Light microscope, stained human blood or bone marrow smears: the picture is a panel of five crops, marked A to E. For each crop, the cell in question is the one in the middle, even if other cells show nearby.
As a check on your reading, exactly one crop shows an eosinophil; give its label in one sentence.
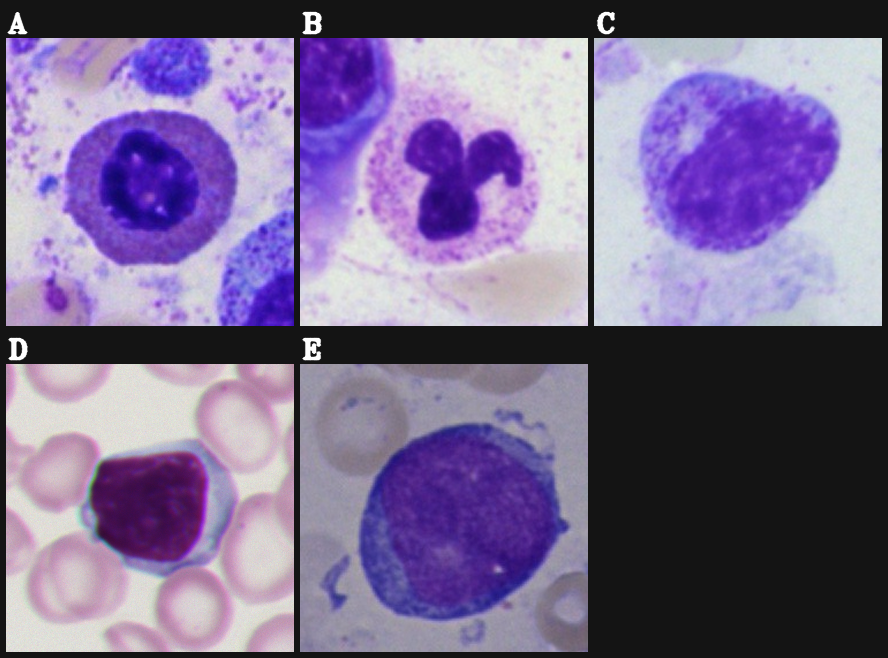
Selected crop: A, which is the one that shows an eosinophil.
